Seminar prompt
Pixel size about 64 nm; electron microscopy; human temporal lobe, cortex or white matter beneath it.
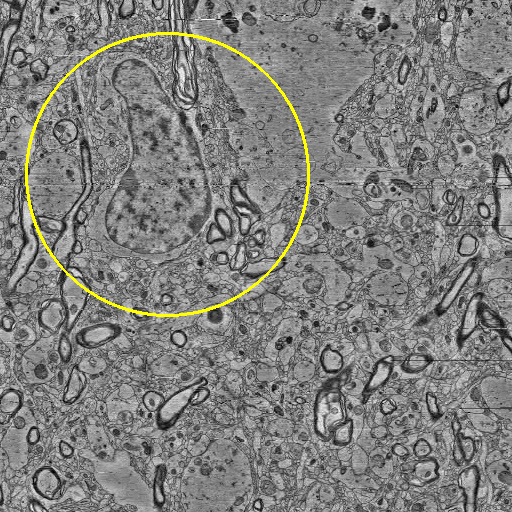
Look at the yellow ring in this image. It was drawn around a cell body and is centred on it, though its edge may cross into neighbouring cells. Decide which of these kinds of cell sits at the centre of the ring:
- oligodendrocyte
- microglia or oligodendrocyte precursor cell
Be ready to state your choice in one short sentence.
The kind of cell at the ring's centre is a microglial cell or oligodendrocyte precursor cell.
